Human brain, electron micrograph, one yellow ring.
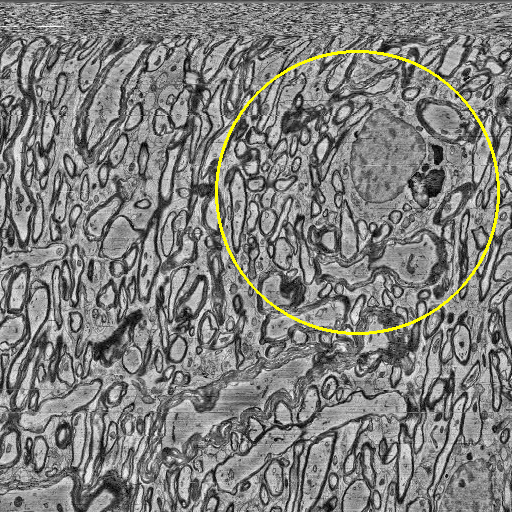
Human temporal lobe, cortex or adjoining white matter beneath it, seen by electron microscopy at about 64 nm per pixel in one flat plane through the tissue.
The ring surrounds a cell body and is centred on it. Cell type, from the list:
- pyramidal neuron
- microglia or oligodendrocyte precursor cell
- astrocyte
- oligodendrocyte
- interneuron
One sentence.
The yellow ring circles an oligodendrocyte.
